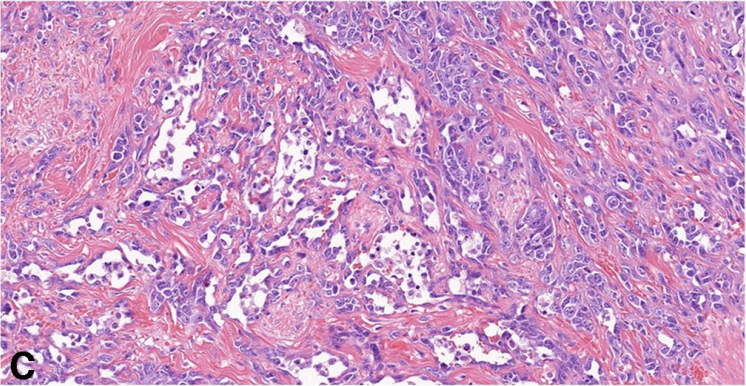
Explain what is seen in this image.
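Irregular, asymmetrical vascular channels lie in a cellular tumor with bands of pink collagen between cell groups. Between the channels, sheets and cords of similar atypical cells with purple nuclei and scant cytoplasm are packed closely. Pink fibrous strands separate some clusters, and at the left edge a paler pink fibrous area lies beside the tumor.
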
